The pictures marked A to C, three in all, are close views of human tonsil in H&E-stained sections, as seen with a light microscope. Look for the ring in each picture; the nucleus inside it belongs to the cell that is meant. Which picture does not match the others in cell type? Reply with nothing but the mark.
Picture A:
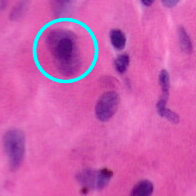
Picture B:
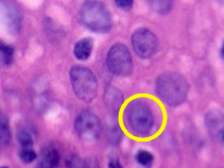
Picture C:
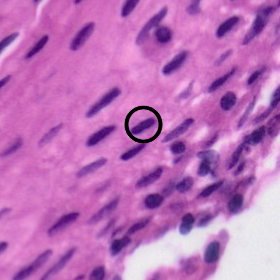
A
